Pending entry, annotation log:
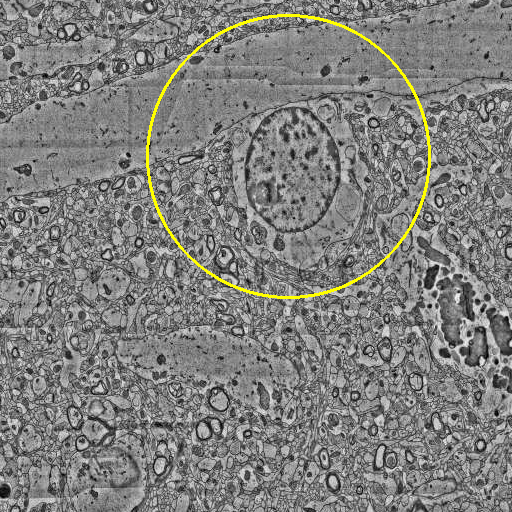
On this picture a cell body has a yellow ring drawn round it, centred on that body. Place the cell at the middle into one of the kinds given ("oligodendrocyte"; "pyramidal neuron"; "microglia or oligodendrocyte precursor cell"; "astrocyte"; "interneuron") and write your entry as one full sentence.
The cell body at the middle of the yellow ring belongs to an astrocyte.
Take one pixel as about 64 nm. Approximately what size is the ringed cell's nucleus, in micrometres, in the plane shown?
Approximately 8 micrometres long and 6 micrometres wide, in this plane.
